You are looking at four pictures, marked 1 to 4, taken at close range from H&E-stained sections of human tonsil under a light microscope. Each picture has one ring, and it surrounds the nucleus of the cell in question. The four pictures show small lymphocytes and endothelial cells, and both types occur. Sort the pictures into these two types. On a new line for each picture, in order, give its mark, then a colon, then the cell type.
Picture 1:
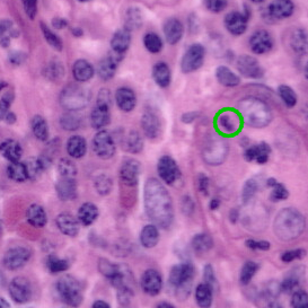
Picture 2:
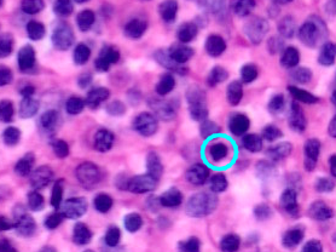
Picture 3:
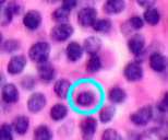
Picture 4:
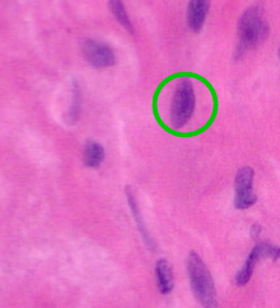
1: endothelial cell
2: small lymphocyte
3: small lymphocyte
4: endothelial cell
